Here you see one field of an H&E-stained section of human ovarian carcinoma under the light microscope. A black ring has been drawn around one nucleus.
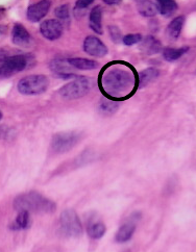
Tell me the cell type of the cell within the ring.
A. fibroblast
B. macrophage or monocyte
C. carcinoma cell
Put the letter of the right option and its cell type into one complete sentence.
Option C describes the cell within the ring accurately as a carcinoma cell.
